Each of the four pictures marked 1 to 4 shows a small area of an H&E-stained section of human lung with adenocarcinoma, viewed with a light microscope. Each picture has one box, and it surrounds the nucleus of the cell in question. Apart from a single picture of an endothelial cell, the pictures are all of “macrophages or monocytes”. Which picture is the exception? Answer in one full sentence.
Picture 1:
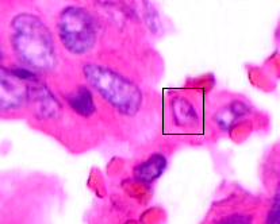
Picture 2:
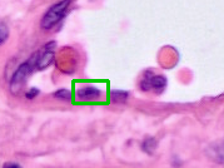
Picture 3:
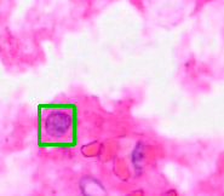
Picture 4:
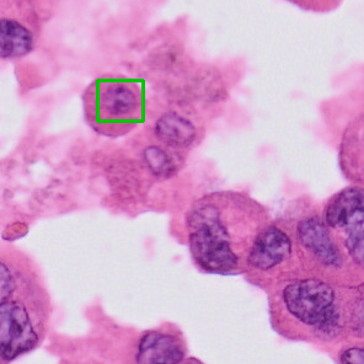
The endothelial cell is the one in picture 2.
